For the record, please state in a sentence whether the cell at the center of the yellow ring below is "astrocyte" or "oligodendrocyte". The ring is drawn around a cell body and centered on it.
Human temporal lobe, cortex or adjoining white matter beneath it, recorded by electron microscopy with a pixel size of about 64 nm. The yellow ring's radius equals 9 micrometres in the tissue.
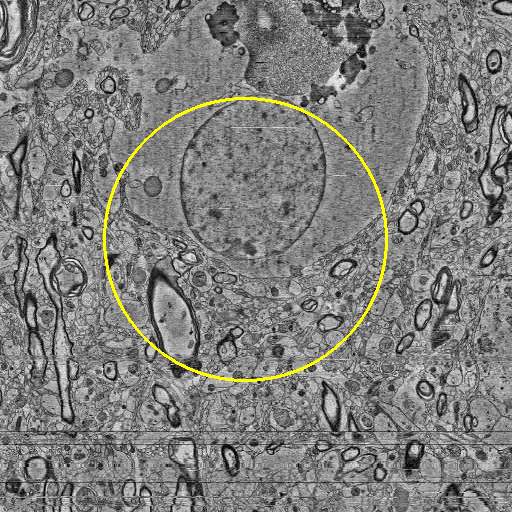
The cell at the ring's center is an astrocyte.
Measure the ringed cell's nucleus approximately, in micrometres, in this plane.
In this plane, roughly 11 by 9 micrometres.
